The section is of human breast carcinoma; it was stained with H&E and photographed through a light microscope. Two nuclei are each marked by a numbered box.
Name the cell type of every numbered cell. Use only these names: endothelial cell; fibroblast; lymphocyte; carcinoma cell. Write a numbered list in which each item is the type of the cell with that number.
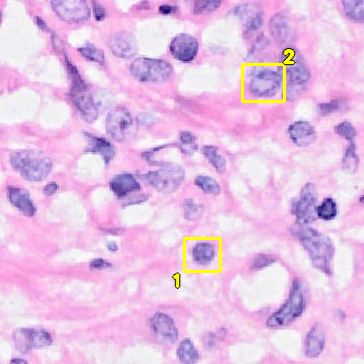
1. lymphocyte
2. carcinoma cell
